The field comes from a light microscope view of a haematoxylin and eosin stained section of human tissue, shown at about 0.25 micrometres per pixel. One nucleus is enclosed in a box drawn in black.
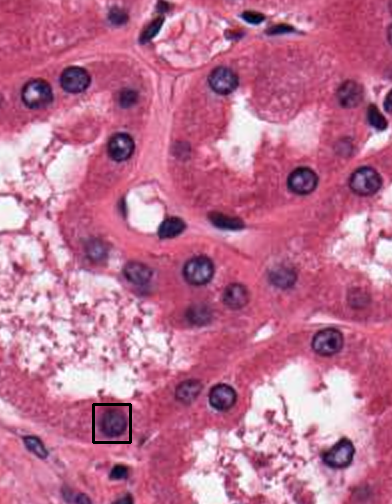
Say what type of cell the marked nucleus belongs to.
proximal tubule cell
